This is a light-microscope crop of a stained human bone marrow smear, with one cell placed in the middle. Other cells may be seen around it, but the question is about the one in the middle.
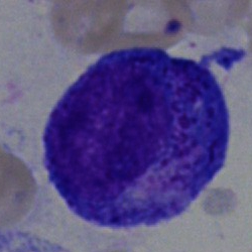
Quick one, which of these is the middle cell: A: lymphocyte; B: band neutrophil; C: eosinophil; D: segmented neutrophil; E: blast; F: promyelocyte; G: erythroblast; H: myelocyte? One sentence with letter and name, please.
For this crop, option F is right, the centered cell being a promyelocyte.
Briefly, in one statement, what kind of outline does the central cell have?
Happy to help: the outline is smooth and shows no projections.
